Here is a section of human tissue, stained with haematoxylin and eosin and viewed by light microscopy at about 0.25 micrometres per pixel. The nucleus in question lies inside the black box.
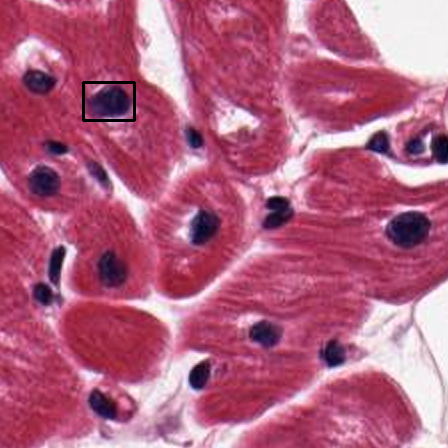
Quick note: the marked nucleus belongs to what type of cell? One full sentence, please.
The nucleus that has been marked belongs to a cardiomyocyte.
